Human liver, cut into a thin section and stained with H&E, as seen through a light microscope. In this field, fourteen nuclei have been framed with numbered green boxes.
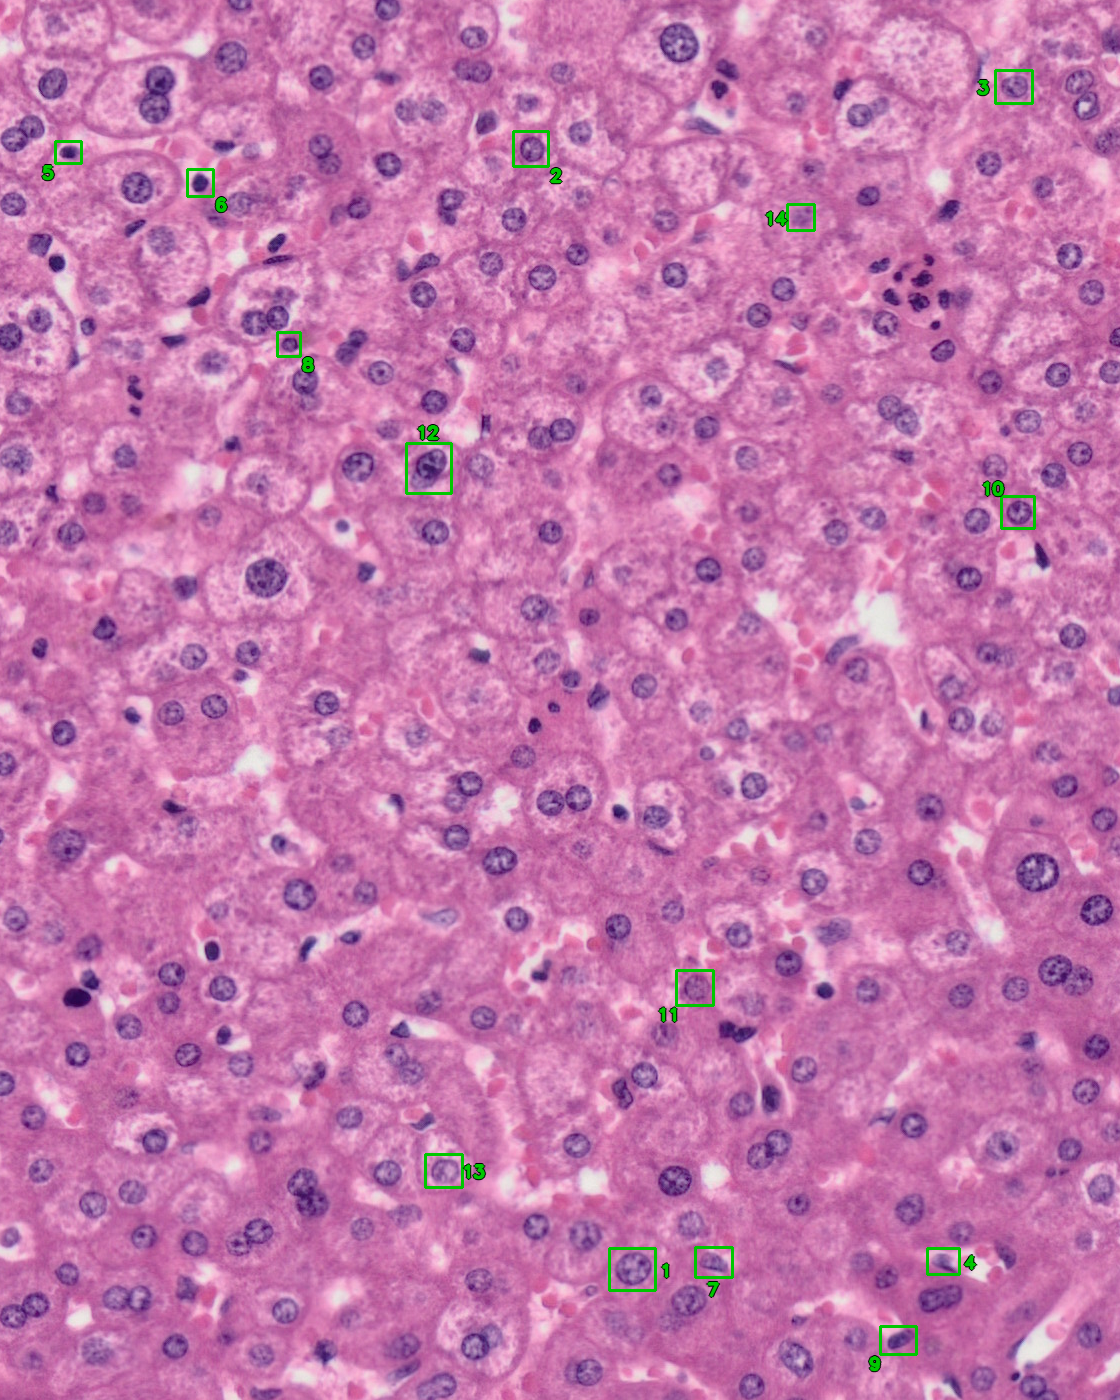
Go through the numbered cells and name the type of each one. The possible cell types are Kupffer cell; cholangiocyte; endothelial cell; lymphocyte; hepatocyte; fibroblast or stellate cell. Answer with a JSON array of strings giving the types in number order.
["hepatocyte", "hepatocyte", "hepatocyte", "endothelial cell", "lymphocyte", "lymphocyte", "endothelial cell", "Kupffer cell", "fibroblast or stellate cell", "hepatocyte", "hepatocyte", "hepatocyte", "hepatocyte", "hepatocyte"]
